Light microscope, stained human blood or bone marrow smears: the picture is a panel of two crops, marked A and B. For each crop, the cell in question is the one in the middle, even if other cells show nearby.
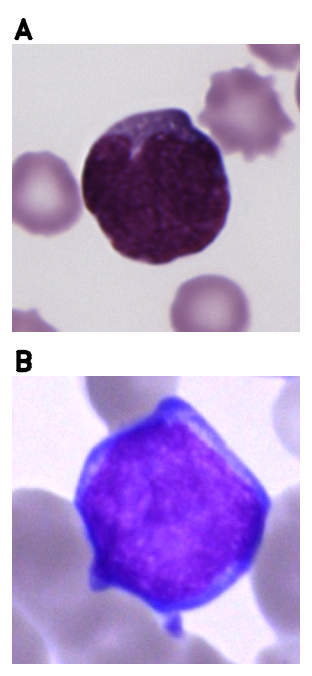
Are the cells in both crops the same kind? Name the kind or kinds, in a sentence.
Yes, both crops show blasts at their middles.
